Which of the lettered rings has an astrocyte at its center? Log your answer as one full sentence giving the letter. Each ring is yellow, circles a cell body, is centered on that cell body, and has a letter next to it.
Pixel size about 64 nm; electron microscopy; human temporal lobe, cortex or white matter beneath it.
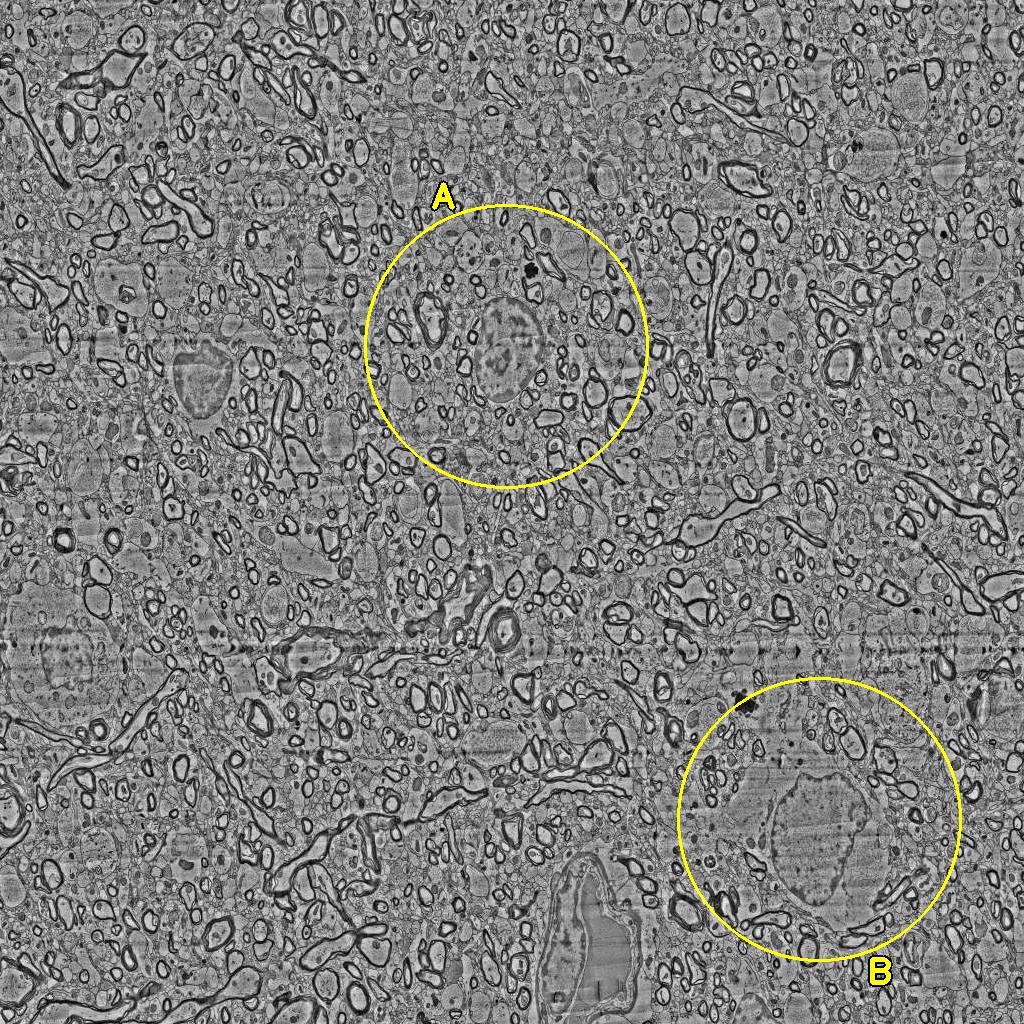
The lettered ring centered on the cell asked for is ring B.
